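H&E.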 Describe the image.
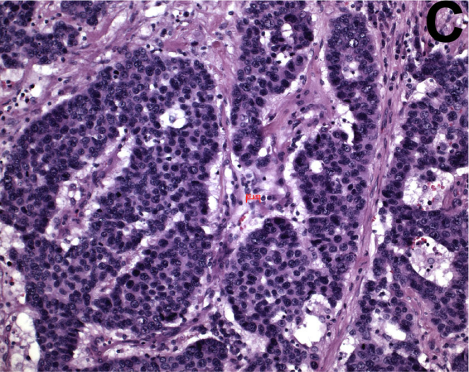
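Large nests of tumour cells with crowded, round to oval dark nuclei and scant cytoplasm are separated by thin strands of pink fibrous stroma. Inside the nests the cells line up around small round clear spaces, forming rosette-like arrangements, and the outer cells of the nests tend to line up in a palisade. This is a carcinoma with neuroendocrine architecture, showing rosettes.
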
